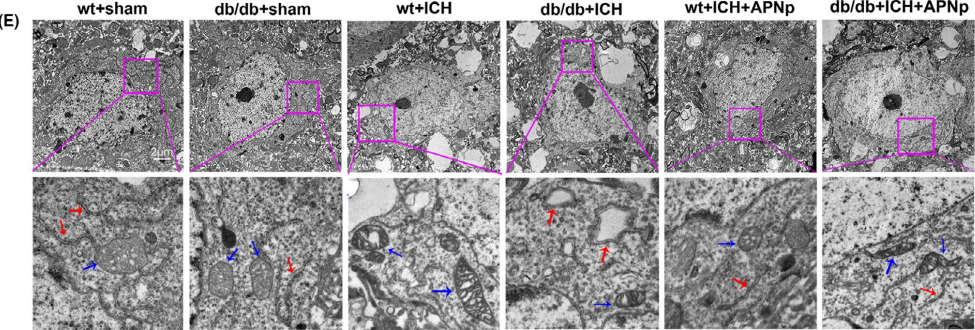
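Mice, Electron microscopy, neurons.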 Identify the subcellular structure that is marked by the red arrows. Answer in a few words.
Endoplasmic reticulum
